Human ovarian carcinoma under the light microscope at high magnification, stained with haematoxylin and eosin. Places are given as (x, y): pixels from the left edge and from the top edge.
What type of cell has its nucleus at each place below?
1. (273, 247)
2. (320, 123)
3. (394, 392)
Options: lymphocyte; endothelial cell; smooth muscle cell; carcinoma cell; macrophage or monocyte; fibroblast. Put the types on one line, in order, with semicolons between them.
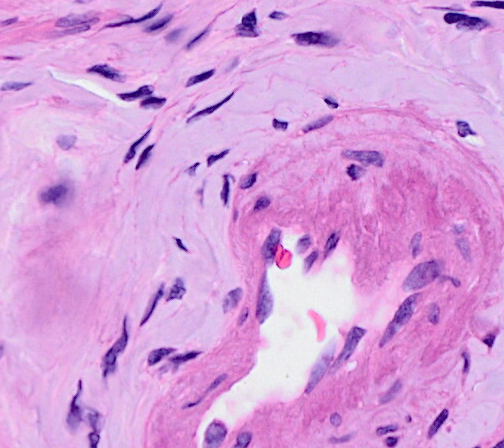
endothelial cell; smooth muscle cell; smooth muscle cell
